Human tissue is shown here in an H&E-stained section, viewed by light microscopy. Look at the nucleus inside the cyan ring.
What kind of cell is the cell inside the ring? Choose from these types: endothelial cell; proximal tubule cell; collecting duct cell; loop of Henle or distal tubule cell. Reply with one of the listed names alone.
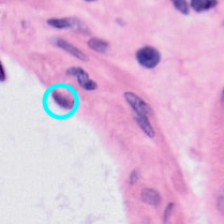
endothelial cell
